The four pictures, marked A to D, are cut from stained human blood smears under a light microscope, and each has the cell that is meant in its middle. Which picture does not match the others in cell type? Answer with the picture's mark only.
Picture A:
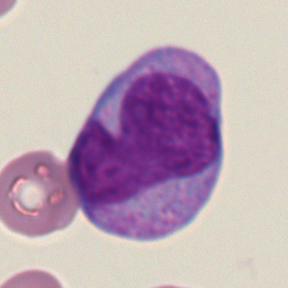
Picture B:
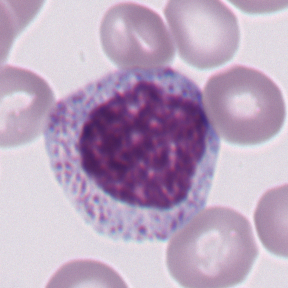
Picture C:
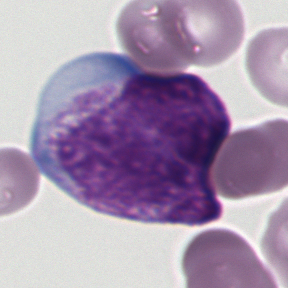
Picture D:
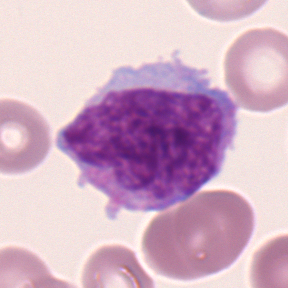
B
